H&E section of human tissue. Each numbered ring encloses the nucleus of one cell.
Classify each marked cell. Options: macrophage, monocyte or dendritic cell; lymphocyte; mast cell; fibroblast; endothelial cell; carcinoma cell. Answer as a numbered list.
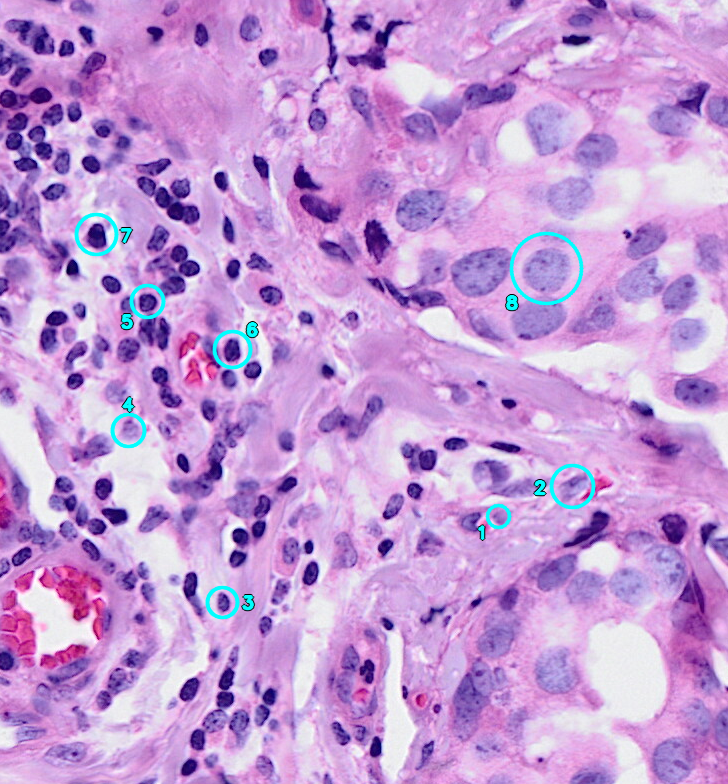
1. endothelial cell
2. endothelial cell
3. lymphocyte
4. macrophage, monocyte or dendritic cell
5. lymphocyte
6. lymphocyte
7. lymphocyte
8. carcinoma cell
